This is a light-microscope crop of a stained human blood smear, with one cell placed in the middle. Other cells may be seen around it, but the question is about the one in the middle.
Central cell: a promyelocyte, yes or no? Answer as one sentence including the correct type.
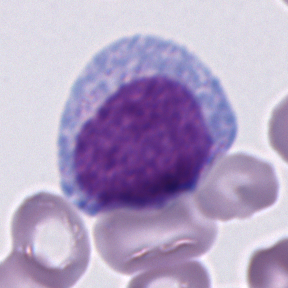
Yes, what sits in the centre of the crop is a promyelocyte.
